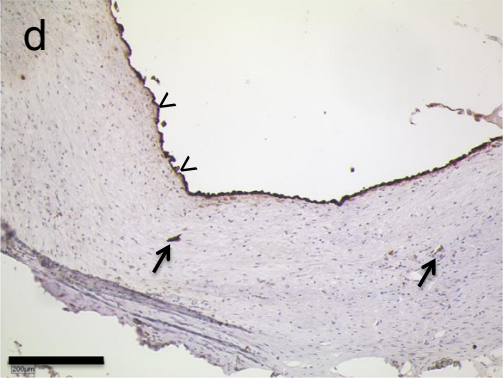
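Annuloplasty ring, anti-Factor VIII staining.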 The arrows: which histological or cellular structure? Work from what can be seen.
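The arrows point to small brown-stained profiles deep to the surface. They stand out singly within pale tissue with blue nuclei.
Answer: subendocardial vessels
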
